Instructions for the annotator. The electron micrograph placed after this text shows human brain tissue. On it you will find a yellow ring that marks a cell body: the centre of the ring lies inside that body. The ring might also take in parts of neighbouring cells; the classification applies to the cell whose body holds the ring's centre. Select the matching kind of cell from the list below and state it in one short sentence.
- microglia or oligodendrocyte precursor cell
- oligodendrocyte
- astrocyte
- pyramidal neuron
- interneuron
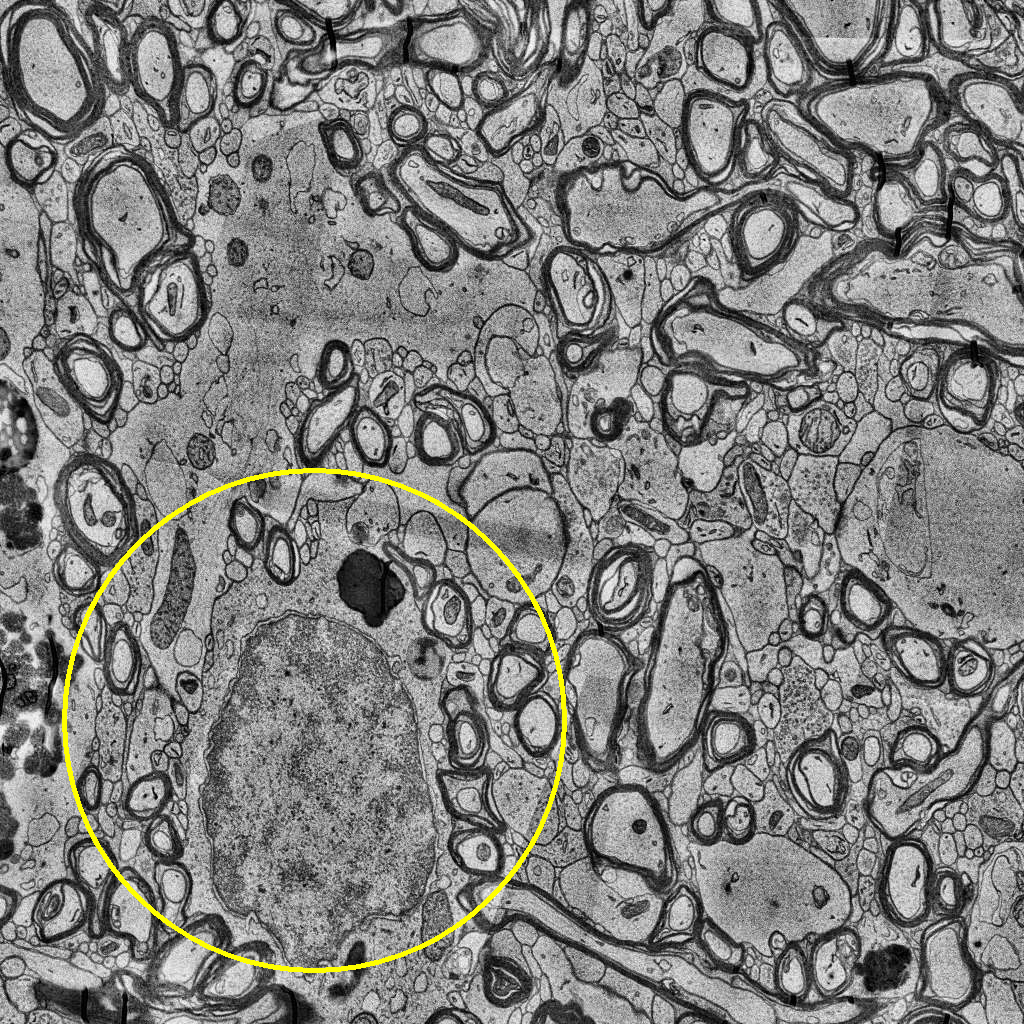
The centre of the ring lies in the cell body of an oligodendrocyte.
